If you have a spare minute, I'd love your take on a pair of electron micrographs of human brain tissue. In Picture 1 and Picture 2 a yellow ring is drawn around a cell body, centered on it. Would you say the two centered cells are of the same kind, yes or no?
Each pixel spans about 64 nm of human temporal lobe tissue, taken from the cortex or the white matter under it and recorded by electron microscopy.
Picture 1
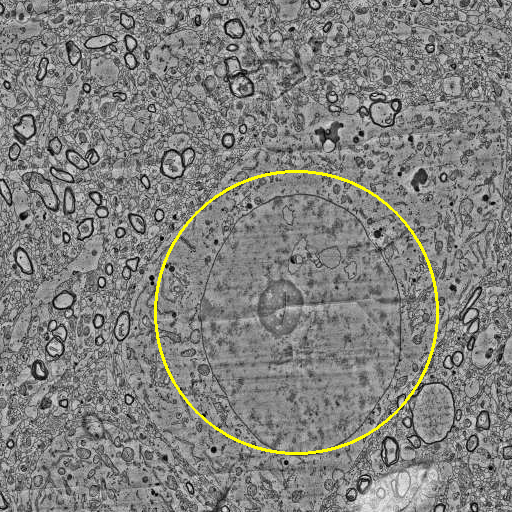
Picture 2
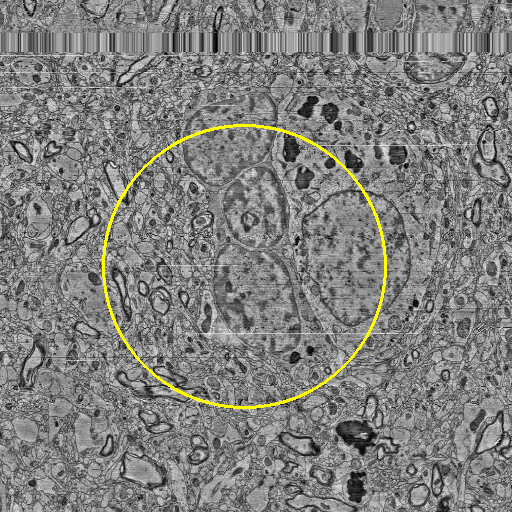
no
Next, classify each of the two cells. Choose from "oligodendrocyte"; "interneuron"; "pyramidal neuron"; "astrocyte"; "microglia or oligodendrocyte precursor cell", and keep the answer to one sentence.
In the first picture it is a pyramidal neuron; in the second it is an oligodendrocyte.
